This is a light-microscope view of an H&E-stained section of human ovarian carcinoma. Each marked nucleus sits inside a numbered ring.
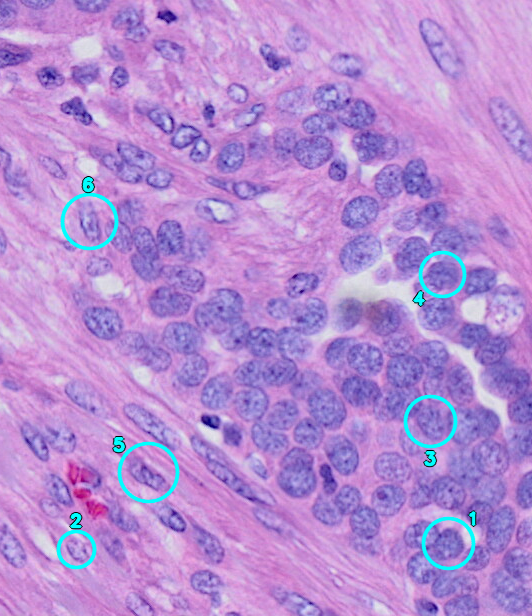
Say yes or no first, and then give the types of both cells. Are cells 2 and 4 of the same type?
No, cell 2 is a fibroblast and cell 4 is a carcinoma cell.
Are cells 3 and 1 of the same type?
Yes, both are carcinoma cells.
